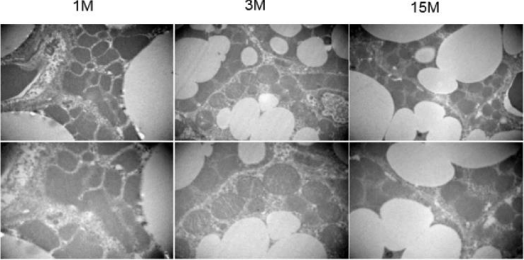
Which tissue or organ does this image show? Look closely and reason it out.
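Cells hold several round, pale lipid droplets of different sizes. Dense cytoplasm between the droplets is packed with small round organelles. The answer: brown adipose tissues.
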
